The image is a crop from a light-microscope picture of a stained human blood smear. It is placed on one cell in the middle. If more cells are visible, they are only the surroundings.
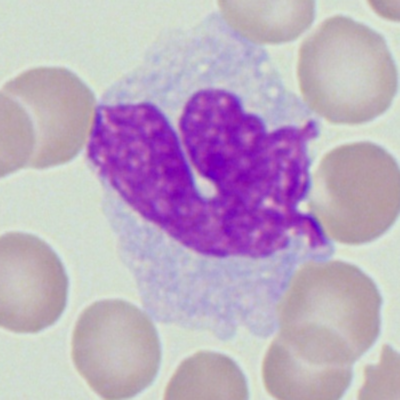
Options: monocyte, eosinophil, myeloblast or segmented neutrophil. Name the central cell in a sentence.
The centrally positioned cell in the crop represents a monocyte.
